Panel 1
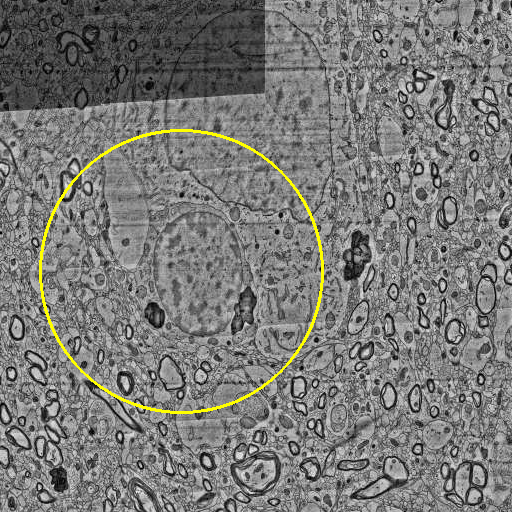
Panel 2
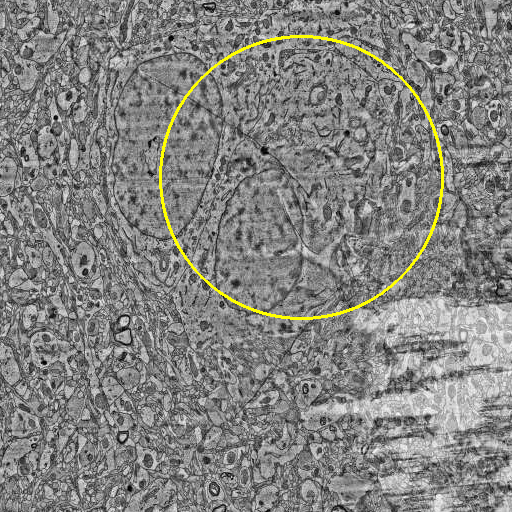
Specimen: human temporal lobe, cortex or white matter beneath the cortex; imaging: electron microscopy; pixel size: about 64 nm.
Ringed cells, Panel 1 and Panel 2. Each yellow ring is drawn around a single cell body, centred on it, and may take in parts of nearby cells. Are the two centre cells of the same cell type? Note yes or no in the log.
no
